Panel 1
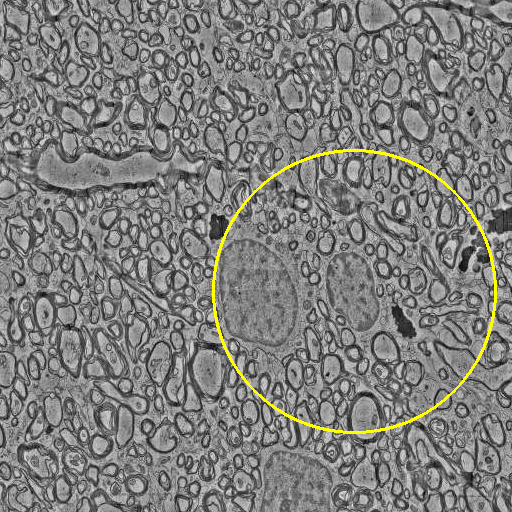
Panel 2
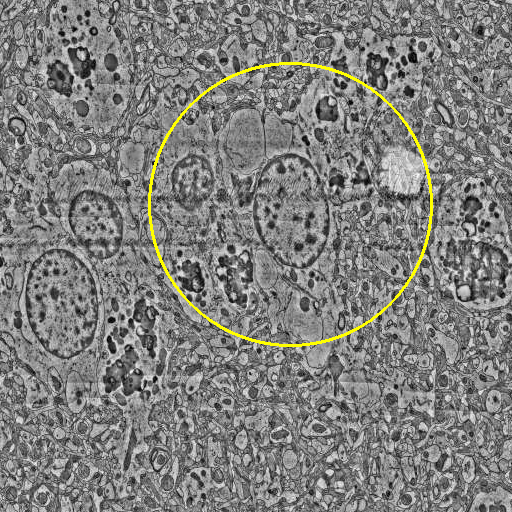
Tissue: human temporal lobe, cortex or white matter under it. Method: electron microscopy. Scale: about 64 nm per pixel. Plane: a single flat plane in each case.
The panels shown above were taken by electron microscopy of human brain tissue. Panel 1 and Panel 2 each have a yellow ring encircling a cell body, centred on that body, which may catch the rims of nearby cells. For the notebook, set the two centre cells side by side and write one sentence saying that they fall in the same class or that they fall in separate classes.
The centred cells of Panel 1 and Panel 2 fall in separate classes.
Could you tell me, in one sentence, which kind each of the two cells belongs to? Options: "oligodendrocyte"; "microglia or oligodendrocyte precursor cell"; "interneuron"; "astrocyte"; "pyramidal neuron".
At the centre of the first ring sits a microglial cell or oligodendrocyte precursor cell, and at the centre of the second sits an astrocyte.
